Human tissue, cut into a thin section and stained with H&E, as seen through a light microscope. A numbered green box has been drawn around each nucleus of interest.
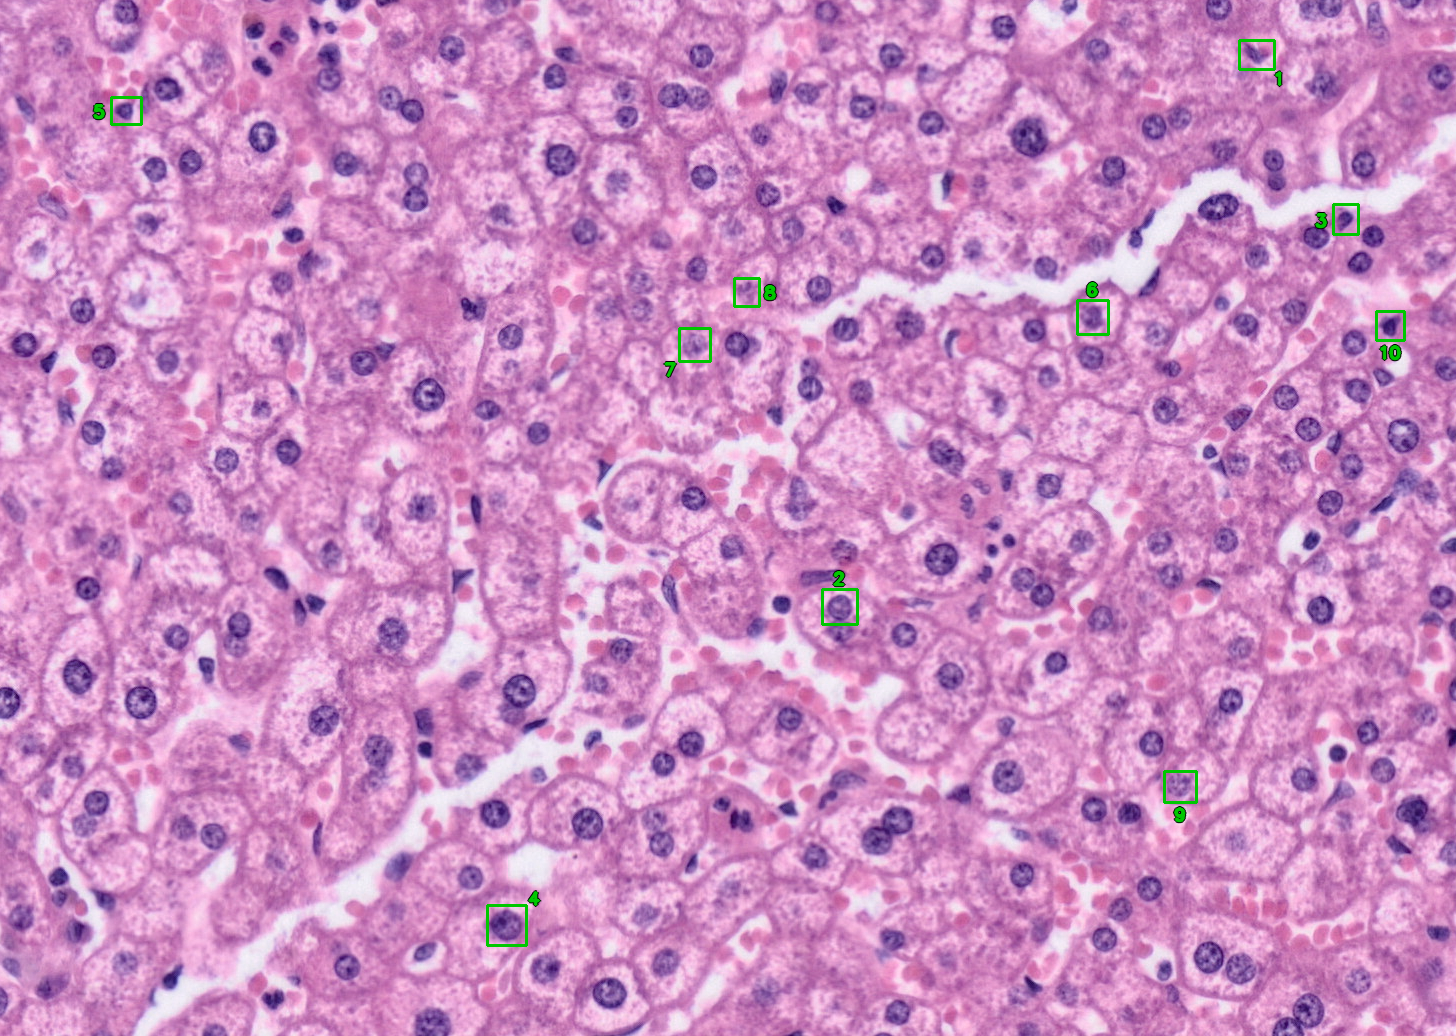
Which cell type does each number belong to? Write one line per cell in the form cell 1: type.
cell 1: endothelial cell
cell 2: hepatocyte
cell 3: fibroblast or stellate cell
cell 4: hepatocyte
cell 5: lymphocyte
cell 6: hepatocyte
cell 7: hepatocyte
cell 8: hepatocyte
cell 9: hepatocyte
cell 10: fibroblast or stellate cell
